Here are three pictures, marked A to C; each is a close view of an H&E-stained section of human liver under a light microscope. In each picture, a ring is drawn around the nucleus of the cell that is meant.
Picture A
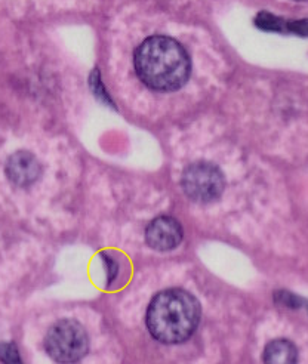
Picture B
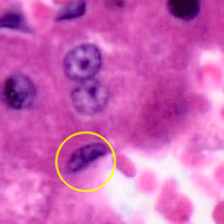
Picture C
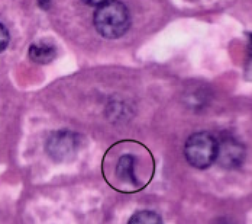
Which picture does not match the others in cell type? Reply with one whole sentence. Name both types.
Picture B differs, because its cell is a “fibroblast or stellate cell” and the rest are endothelial cells.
